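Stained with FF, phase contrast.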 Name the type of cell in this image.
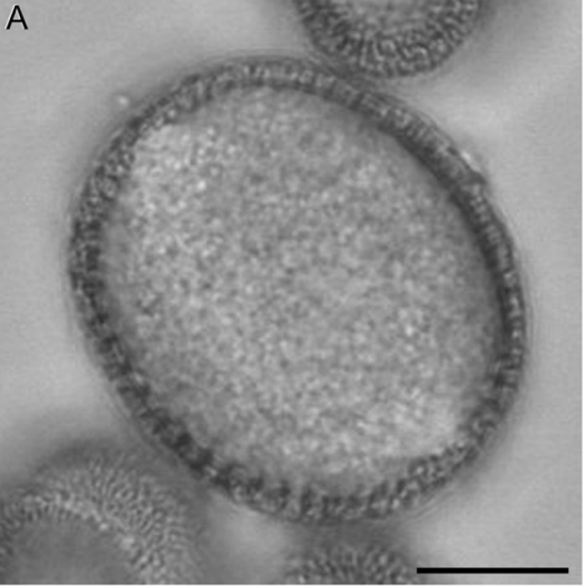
Mature pollen grain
